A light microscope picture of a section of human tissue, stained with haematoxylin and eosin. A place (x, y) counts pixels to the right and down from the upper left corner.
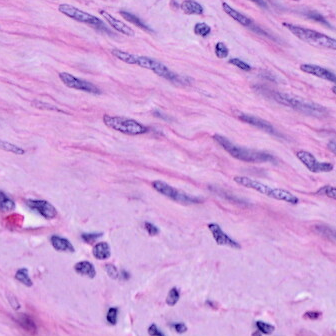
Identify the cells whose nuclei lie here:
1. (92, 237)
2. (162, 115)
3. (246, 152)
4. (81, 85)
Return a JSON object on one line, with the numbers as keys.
{"1": "fibroblast", "2": "smooth muscle cell", "3": "smooth muscle cell", "4": "smooth muscle cell"}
